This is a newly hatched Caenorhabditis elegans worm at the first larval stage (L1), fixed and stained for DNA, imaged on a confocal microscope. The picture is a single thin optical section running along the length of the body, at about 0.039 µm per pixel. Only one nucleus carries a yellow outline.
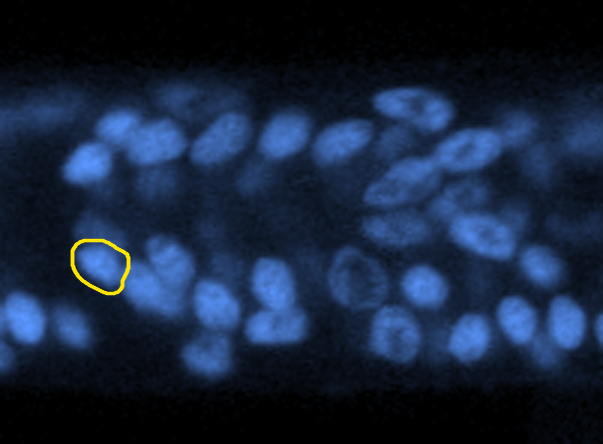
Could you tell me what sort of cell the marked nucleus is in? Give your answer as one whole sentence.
This nucleus is from a GLR cell.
